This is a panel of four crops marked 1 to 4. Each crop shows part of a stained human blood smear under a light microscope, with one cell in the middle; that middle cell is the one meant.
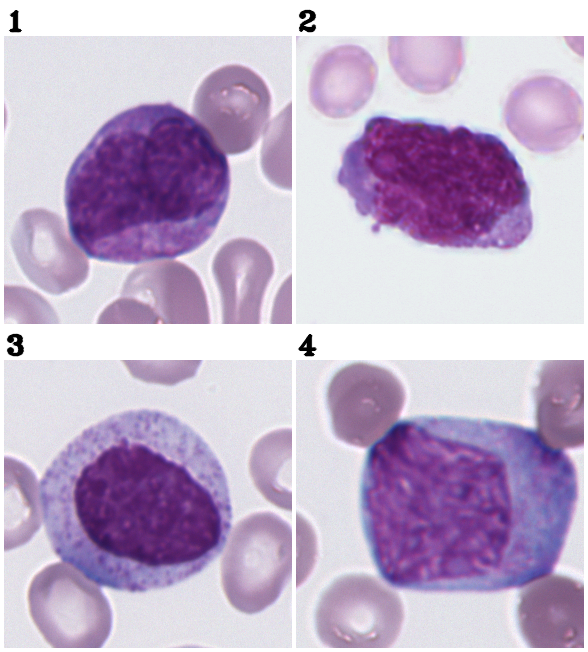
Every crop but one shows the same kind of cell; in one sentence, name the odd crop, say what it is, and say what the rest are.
Crop 3 is the outlier, with a myelocyte against atypical promyelocytes in the rest.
